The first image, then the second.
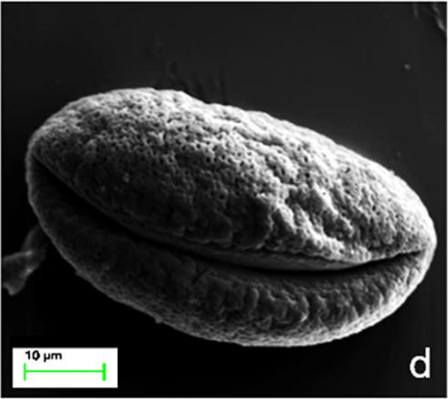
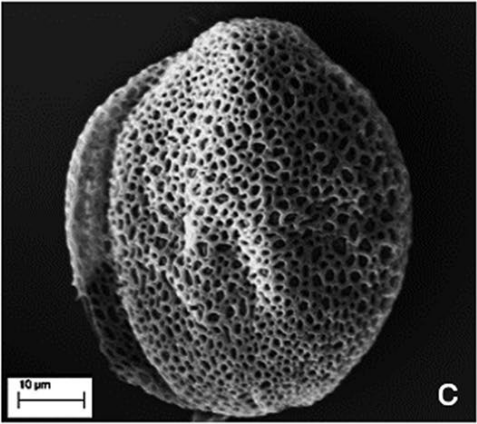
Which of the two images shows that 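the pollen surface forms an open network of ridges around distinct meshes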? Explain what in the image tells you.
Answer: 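Second image: the whole grain surface is a meshwork of ridges enclosing many open polygonal holes. First image: the surface is mostly continuous with only small scattered pits. On this evidence: the second image.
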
